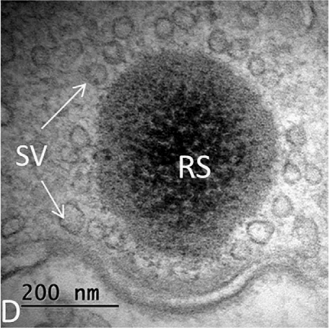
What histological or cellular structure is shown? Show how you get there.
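A round, strongly electron-dense body sits in the centre. It is ringed by small, clear, round vesicles. It lies close to a cell membrane.
Answer: large dense body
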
